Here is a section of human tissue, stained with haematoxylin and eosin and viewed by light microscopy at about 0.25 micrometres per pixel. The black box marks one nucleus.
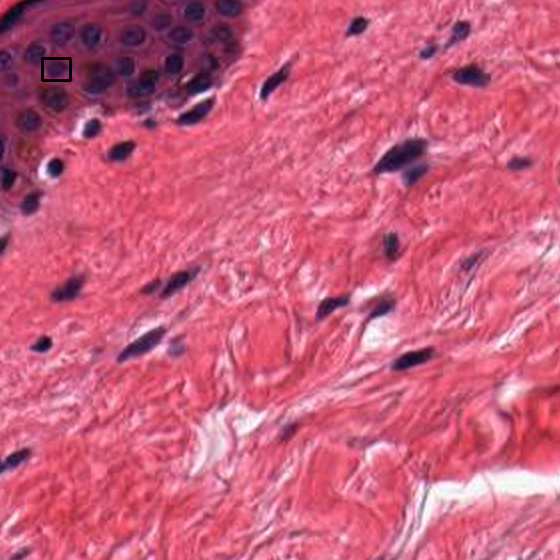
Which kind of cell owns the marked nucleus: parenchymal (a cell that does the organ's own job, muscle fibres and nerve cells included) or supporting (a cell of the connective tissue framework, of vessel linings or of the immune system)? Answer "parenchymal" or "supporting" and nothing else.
parenchymal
